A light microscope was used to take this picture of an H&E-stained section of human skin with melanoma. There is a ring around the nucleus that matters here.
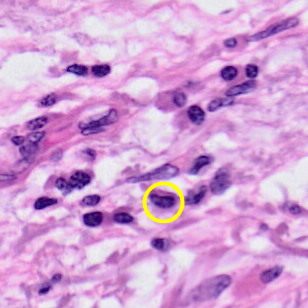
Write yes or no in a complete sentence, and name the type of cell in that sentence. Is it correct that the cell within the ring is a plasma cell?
Yes, a plasma cell is the identity of the cell within the ring in this section.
